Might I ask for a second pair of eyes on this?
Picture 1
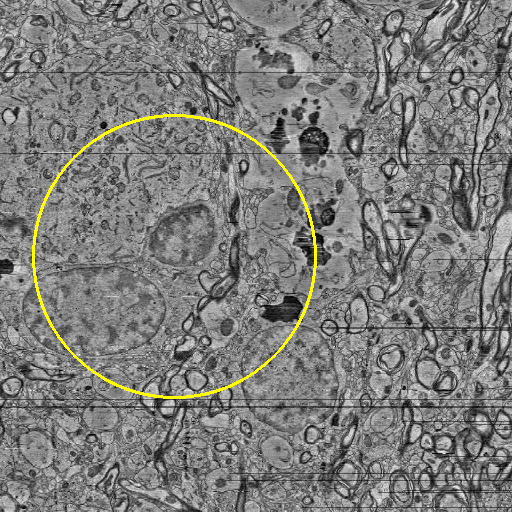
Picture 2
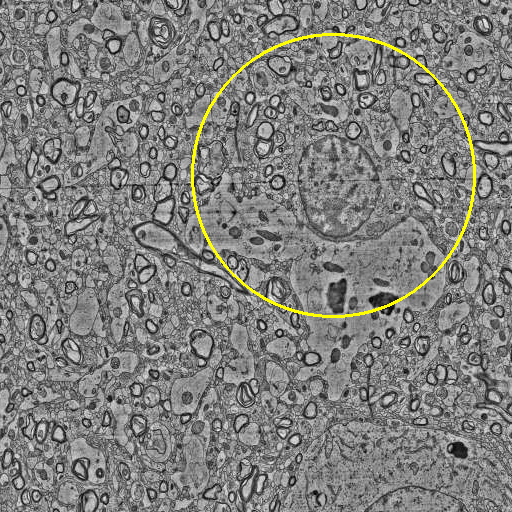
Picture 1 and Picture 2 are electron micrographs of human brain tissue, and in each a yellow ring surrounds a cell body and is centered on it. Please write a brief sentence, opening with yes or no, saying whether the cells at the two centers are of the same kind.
Yes, the cells are of the same kind.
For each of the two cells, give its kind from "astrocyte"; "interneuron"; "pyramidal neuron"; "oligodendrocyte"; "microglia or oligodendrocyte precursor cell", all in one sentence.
Each of the two rings surrounds an oligodendrocyte.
